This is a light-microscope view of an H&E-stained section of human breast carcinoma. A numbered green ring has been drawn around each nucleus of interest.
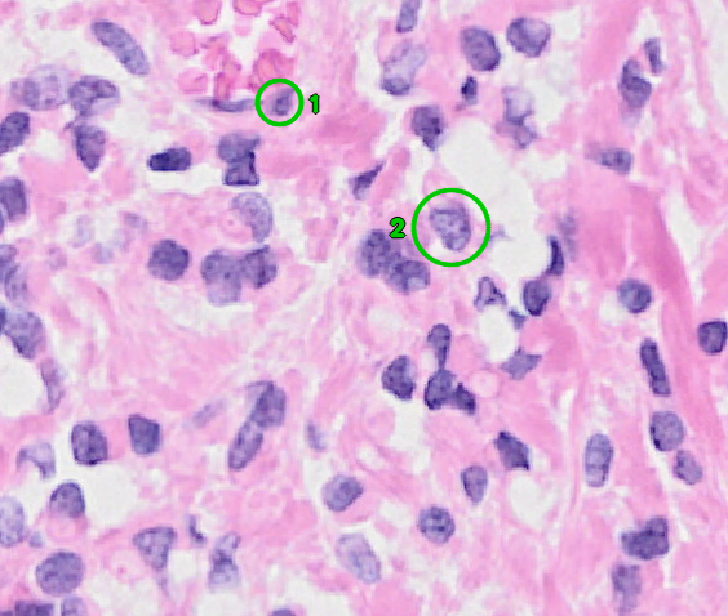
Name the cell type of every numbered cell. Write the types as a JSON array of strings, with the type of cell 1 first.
["endothelial cell", "carcinoma cell"]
